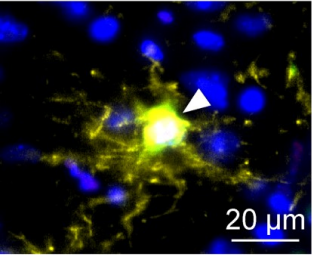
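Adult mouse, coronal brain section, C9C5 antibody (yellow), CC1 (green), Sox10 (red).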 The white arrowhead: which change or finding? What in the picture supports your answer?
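The marked cell has a bright compact body. Many fine yellow processes radiate from the body in all directions.
Conclusion: stellate morphology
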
